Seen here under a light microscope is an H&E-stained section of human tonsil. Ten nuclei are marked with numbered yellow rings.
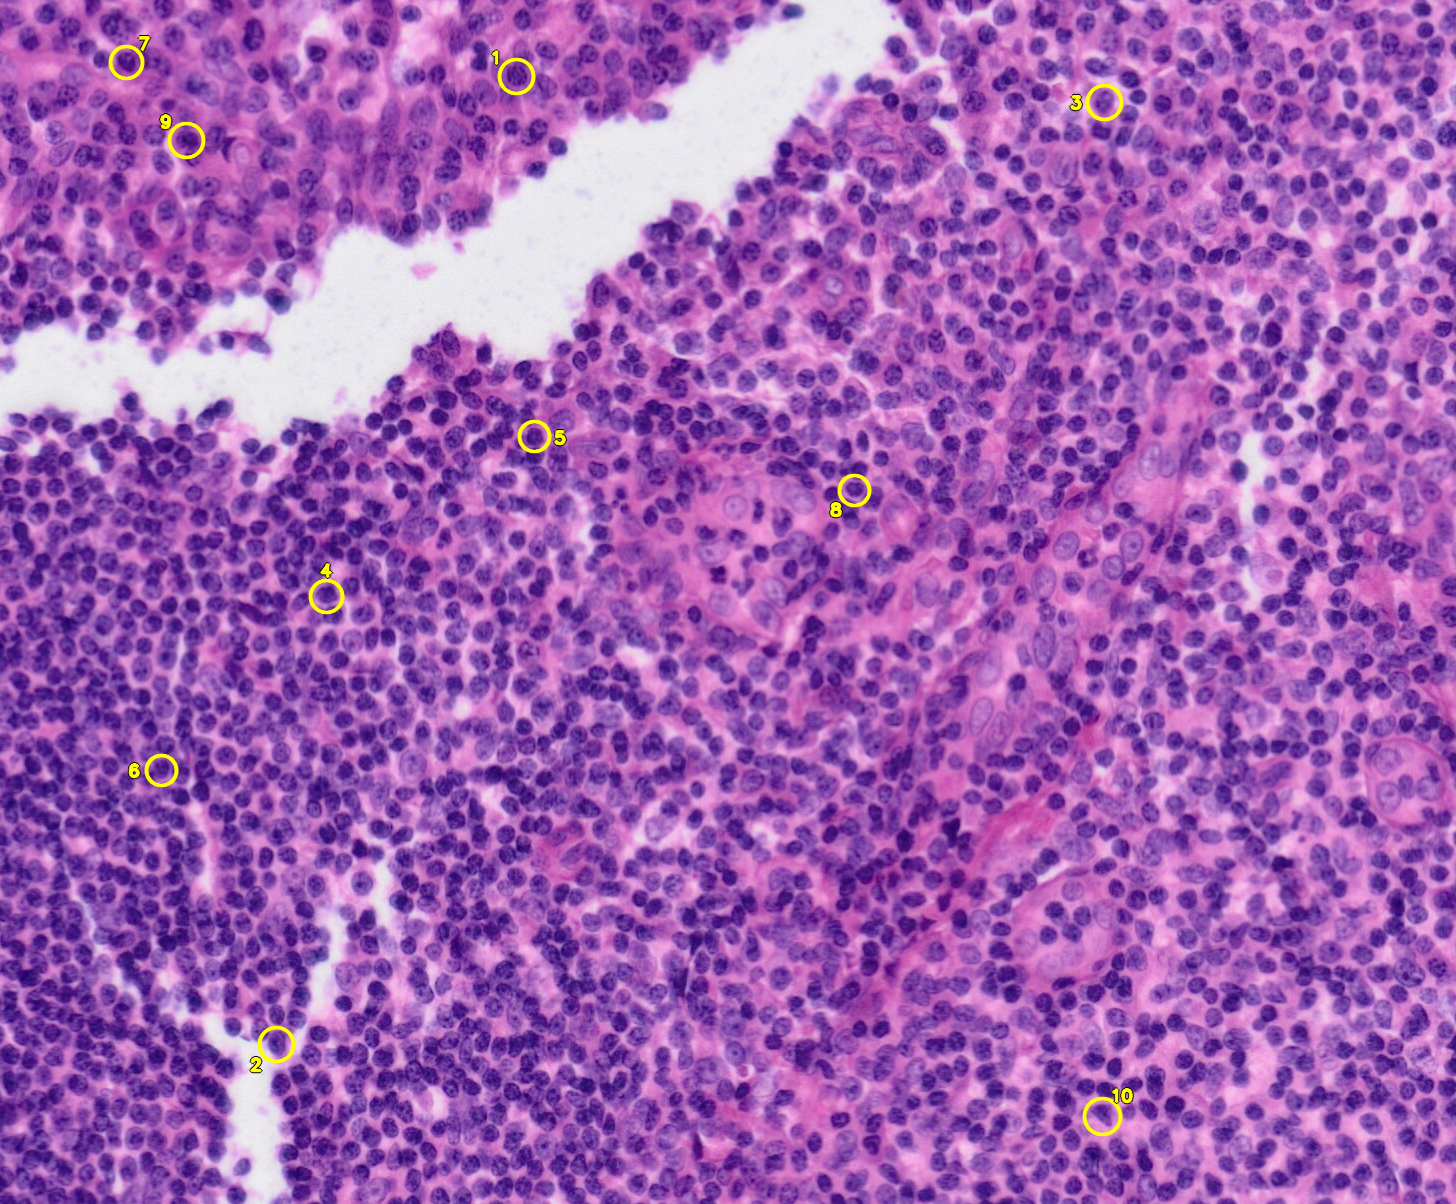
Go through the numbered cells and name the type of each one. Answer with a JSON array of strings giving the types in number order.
["plasma cell", "small lymphocyte", "plasma cell", "small lymphocyte", "small lymphocyte", "small lymphocyte", "plasma cell", "small lymphocyte", "plasma cell", "small lymphocyte"]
